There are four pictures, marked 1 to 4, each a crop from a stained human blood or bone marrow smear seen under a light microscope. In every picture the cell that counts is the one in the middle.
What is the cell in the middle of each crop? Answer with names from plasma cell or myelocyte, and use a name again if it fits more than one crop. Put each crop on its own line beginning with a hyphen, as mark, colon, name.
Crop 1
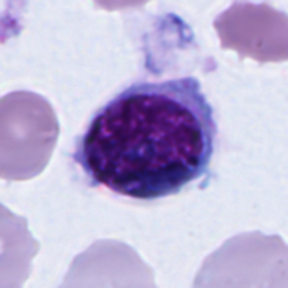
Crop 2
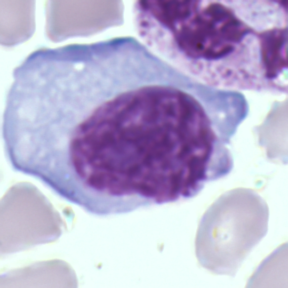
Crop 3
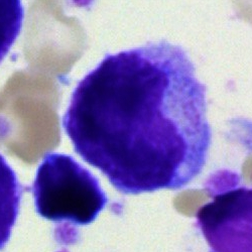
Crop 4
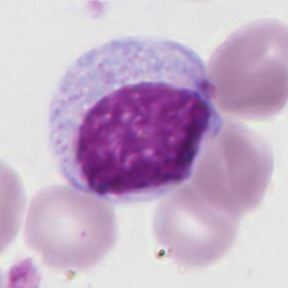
- 1: plasma cell
- 2: plasma cell
- 3: myelocyte
- 4: myelocyte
